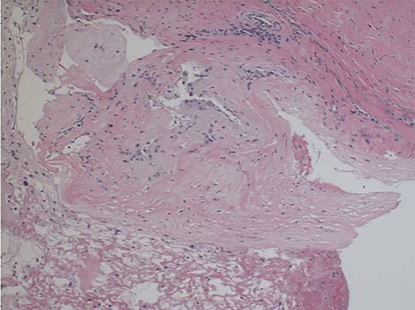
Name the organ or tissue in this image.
Benign fibroconnective tissue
